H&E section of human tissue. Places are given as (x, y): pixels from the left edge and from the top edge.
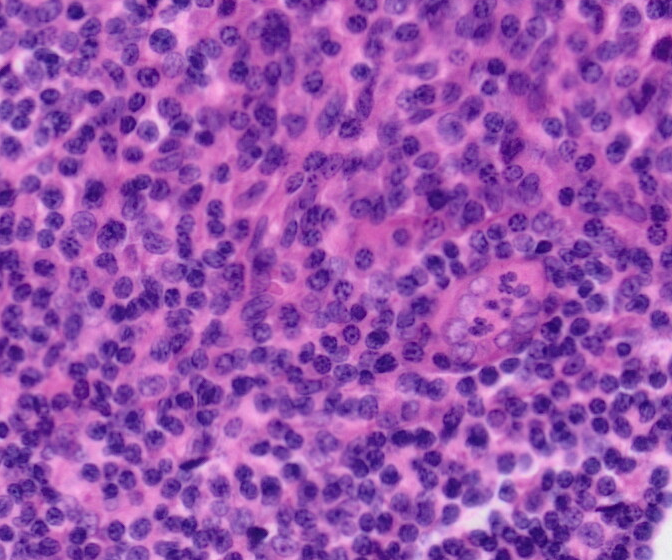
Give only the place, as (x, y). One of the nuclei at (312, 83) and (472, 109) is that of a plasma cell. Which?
(312, 83)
